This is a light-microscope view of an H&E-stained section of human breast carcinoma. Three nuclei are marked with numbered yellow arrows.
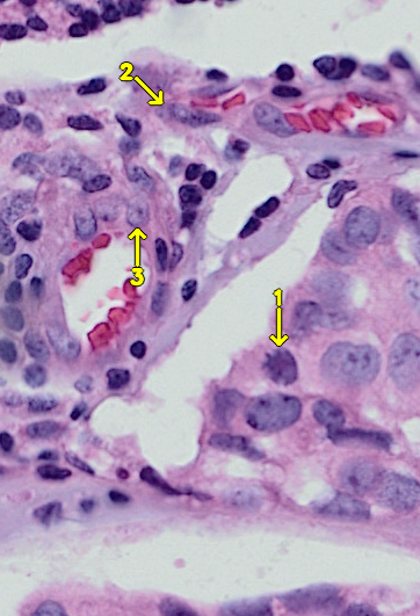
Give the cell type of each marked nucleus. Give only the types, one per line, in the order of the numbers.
carcinoma cell
endothelial cell
endothelial cell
